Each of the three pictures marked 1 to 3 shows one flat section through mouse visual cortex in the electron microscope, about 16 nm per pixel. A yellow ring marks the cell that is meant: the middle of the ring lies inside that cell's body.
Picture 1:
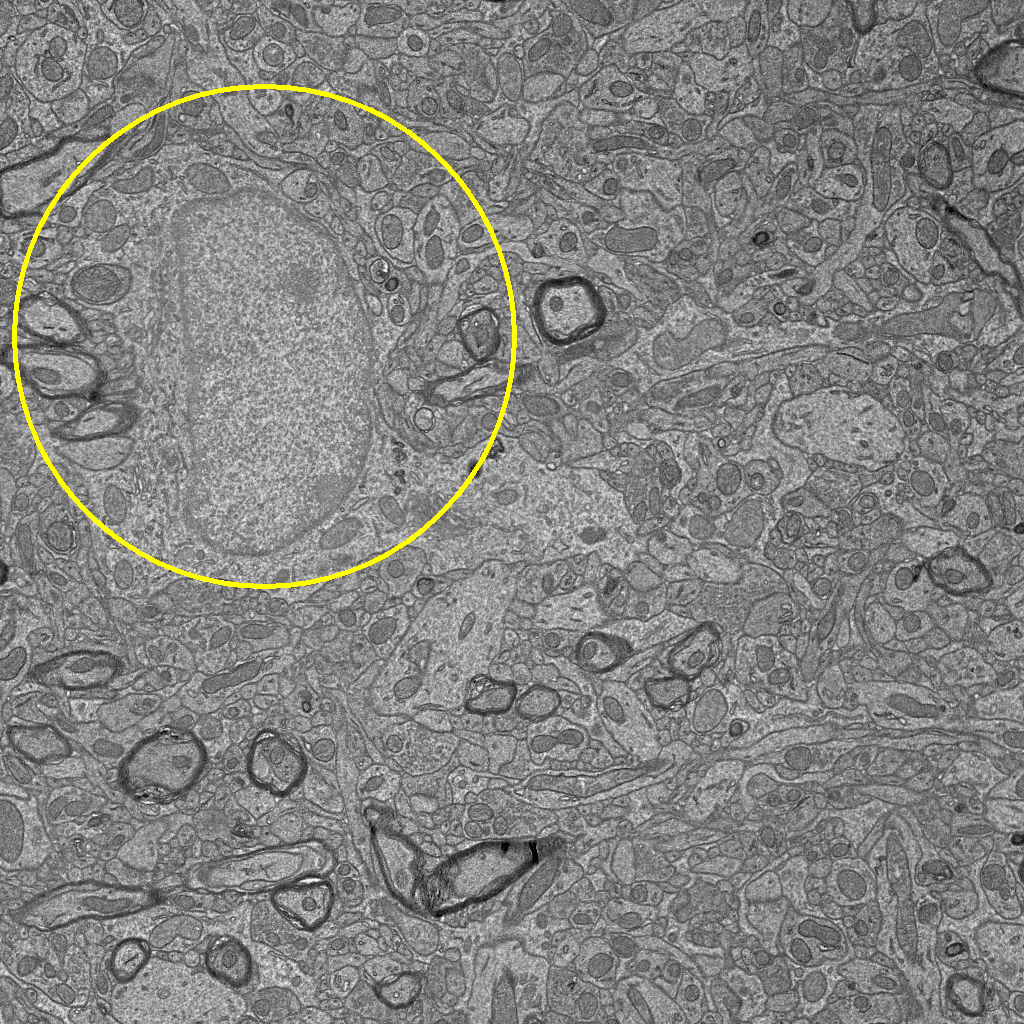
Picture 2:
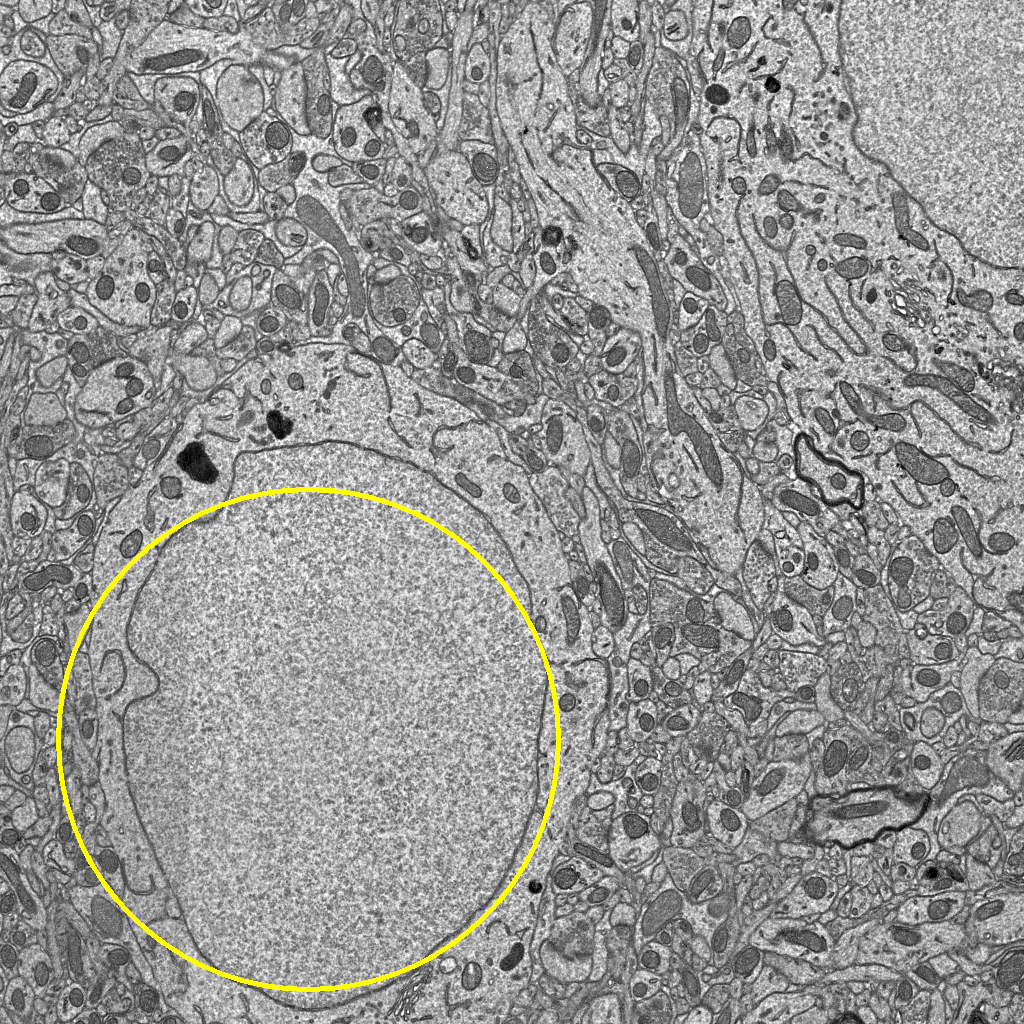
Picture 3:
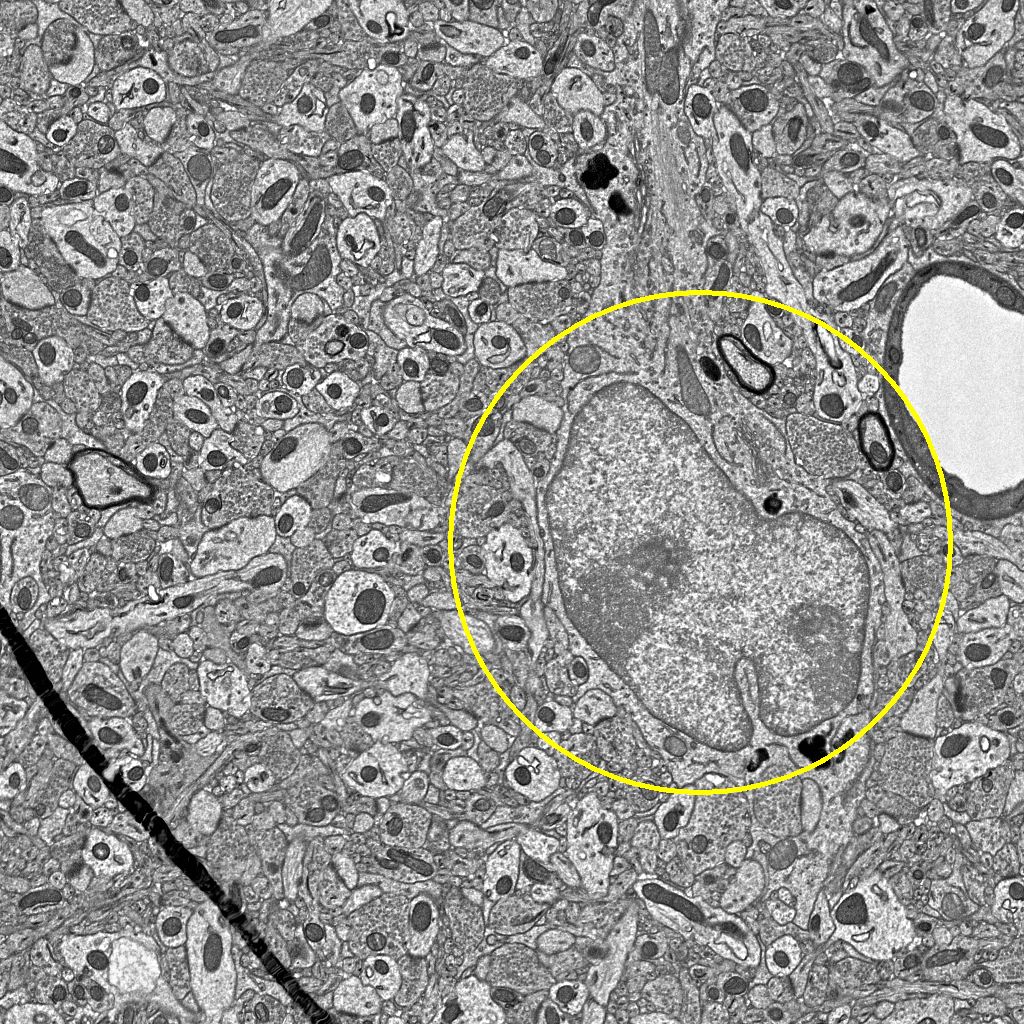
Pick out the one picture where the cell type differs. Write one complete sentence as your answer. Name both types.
Picture 2 is the odd one out: it shows an excitatory neuron, while the others show astrocytes.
